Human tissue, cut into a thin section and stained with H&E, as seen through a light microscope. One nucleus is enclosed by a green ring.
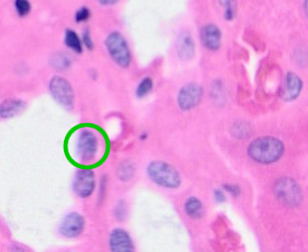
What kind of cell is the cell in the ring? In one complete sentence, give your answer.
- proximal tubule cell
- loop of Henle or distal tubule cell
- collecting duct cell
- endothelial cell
In cell-type terms, the cell in the ring is a loop of Henle or distal tubule cell.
